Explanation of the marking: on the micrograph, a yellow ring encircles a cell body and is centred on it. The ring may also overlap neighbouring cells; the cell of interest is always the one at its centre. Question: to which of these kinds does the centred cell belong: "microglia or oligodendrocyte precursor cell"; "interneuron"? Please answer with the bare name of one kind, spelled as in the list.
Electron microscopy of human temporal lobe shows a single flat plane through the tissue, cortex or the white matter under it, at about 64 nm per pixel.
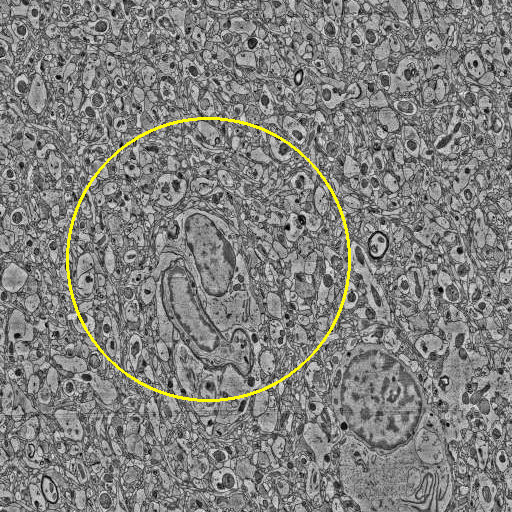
microglia or oligodendrocyte precursor cell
